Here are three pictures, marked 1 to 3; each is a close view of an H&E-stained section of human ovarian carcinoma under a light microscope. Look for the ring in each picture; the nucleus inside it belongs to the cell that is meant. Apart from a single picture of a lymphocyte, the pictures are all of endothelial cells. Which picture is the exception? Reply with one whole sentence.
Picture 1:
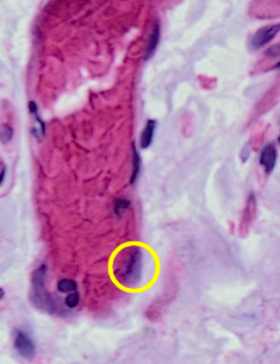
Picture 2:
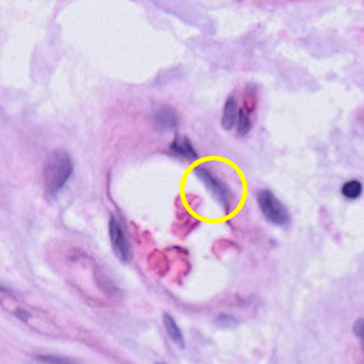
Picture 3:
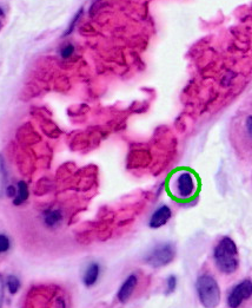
The lymphocyte is the one in picture 3.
